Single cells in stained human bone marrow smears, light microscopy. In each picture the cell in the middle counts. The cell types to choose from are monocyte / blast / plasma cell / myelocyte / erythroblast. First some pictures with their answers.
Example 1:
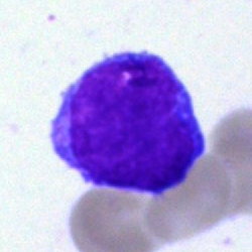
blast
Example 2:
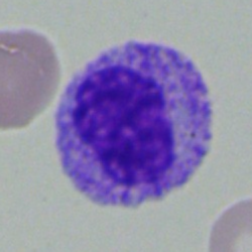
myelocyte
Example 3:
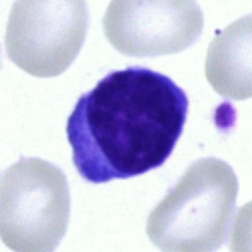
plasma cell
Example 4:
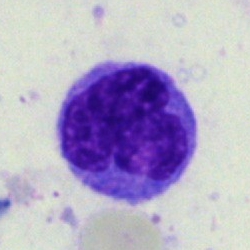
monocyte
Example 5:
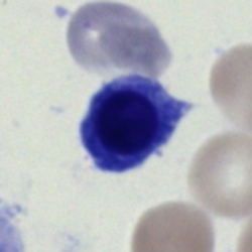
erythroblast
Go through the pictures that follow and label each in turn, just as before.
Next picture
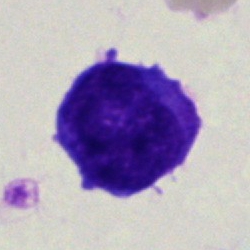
blast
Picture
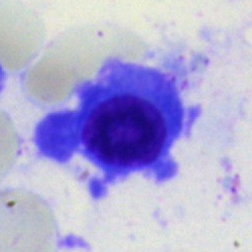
erythroblast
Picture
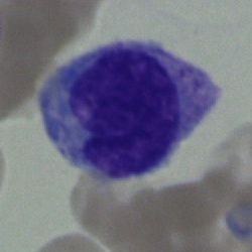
monocyte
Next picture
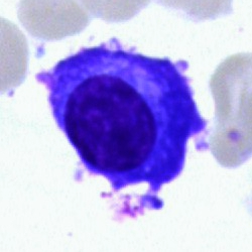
plasma cell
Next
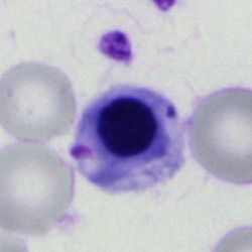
erythroblast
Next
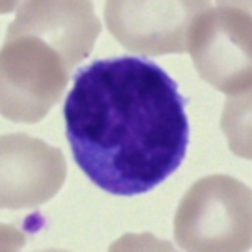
monocyte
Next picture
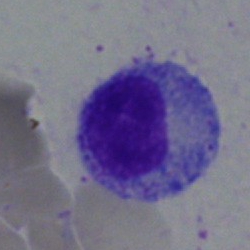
myelocyte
